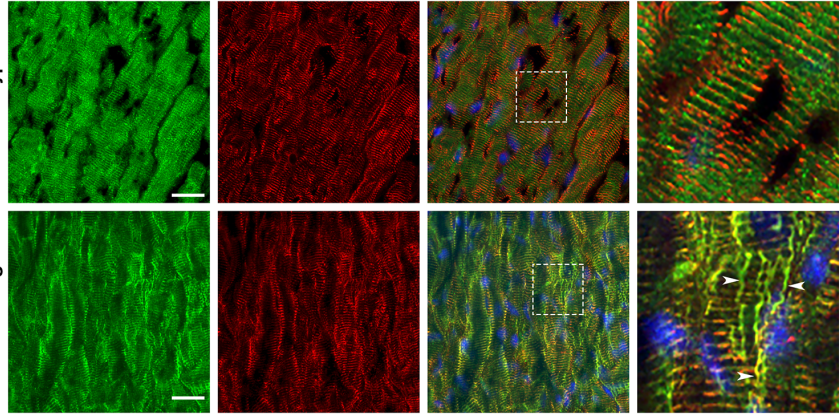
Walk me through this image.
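These are sections of heart muscle with cardiomyocytes cut along their length. The red stain lies in fine, regular cross-striations across each cell, and blue nuclei sit between and within the fibres. In the upper row the green stain fills the cells fairly evenly with a faint striated pattern. In the lower row the green is concentrated in bright lines that run along the edges of the cells, appearing yellow where they overlap the red.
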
